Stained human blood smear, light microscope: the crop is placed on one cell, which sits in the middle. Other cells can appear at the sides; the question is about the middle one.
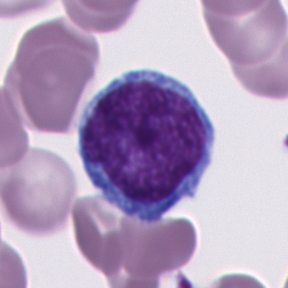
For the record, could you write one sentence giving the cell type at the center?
In the center of this field lies a monocyte.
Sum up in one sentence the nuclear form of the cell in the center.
The nucleus holds together as a single compact mass, round, oval or kidney-like.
